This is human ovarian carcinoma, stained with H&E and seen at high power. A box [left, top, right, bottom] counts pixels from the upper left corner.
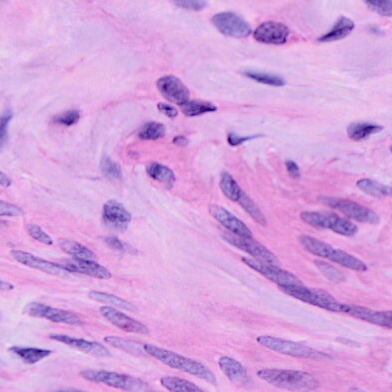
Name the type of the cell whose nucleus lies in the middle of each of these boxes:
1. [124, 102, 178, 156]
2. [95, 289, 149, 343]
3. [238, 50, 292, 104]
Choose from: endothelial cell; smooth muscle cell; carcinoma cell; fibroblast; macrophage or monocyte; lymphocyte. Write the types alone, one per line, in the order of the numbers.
smooth muscle cell
smooth muscle cell
fibroblast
